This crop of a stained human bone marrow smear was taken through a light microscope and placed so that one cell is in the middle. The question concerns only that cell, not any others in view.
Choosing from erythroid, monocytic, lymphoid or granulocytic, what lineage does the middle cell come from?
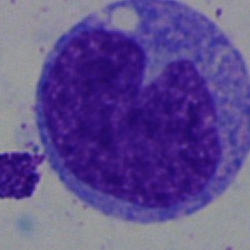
monocytic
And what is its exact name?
monocyte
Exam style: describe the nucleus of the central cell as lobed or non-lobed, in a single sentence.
There is one compact nucleus, and its shape is round, oval or kidney-like.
